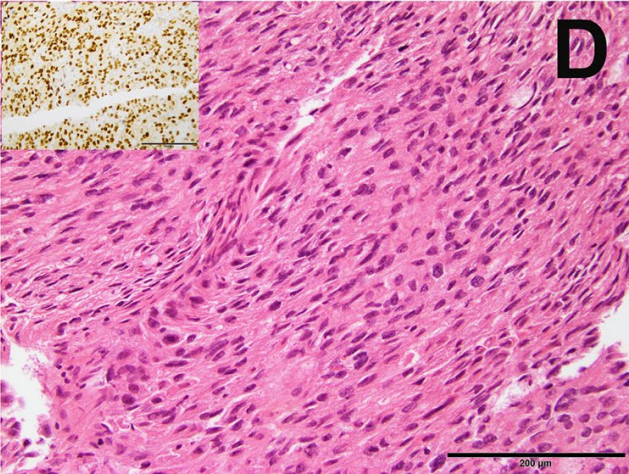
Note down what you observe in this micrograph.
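The cells run in streaming, intersecting bundles, giving a fascicular pattern. Nuclei vary somewhat in size and some are plump and darker. The inset shows brown staining confined to the nuclei of the tumor cells.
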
